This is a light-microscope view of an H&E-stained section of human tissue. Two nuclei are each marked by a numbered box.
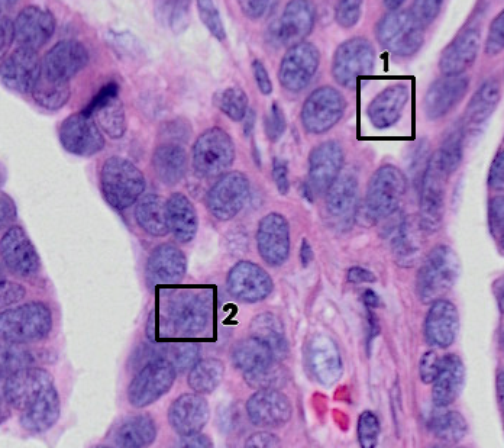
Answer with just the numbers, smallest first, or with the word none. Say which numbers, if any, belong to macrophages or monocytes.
1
